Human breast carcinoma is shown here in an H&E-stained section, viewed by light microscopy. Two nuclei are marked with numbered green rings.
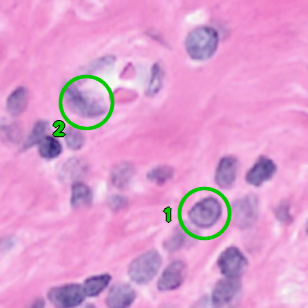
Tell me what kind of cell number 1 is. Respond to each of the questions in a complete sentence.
The cell referred to as 1 is a carcinoma cell.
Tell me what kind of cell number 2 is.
Here, the cell given the number 2 is an endothelial cell.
